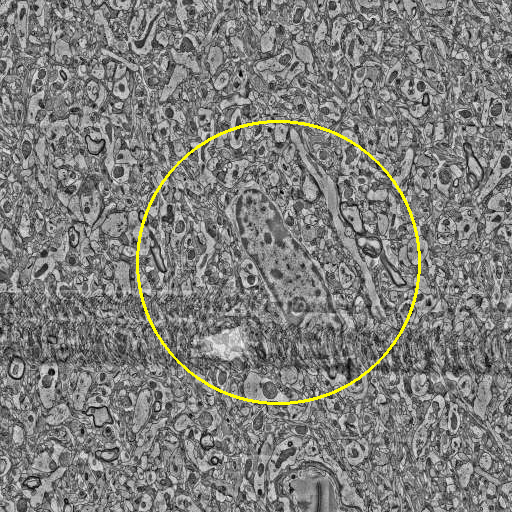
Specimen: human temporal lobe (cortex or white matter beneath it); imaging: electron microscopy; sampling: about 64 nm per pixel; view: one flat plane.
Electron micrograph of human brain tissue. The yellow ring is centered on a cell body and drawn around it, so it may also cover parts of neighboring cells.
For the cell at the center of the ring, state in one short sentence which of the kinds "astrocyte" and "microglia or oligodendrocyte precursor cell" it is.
This ring is centered on a microglial cell or oligodendrocyte precursor cell.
